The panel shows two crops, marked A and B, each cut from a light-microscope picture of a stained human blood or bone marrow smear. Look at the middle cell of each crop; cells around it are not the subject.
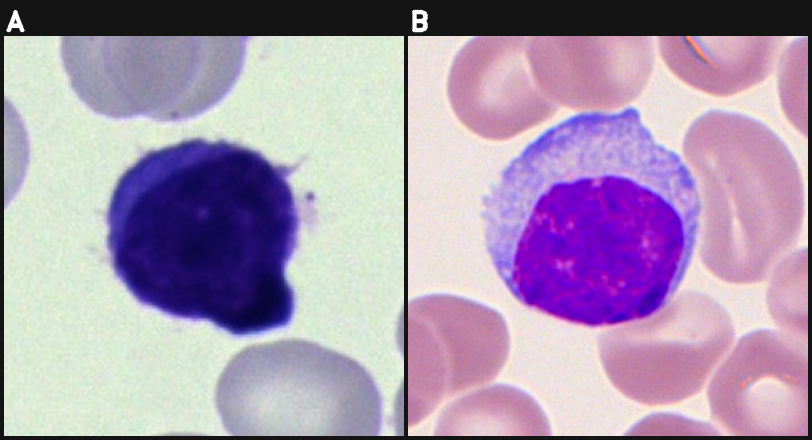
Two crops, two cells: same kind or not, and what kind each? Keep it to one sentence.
Yes, both of the crops show lymphocytes.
